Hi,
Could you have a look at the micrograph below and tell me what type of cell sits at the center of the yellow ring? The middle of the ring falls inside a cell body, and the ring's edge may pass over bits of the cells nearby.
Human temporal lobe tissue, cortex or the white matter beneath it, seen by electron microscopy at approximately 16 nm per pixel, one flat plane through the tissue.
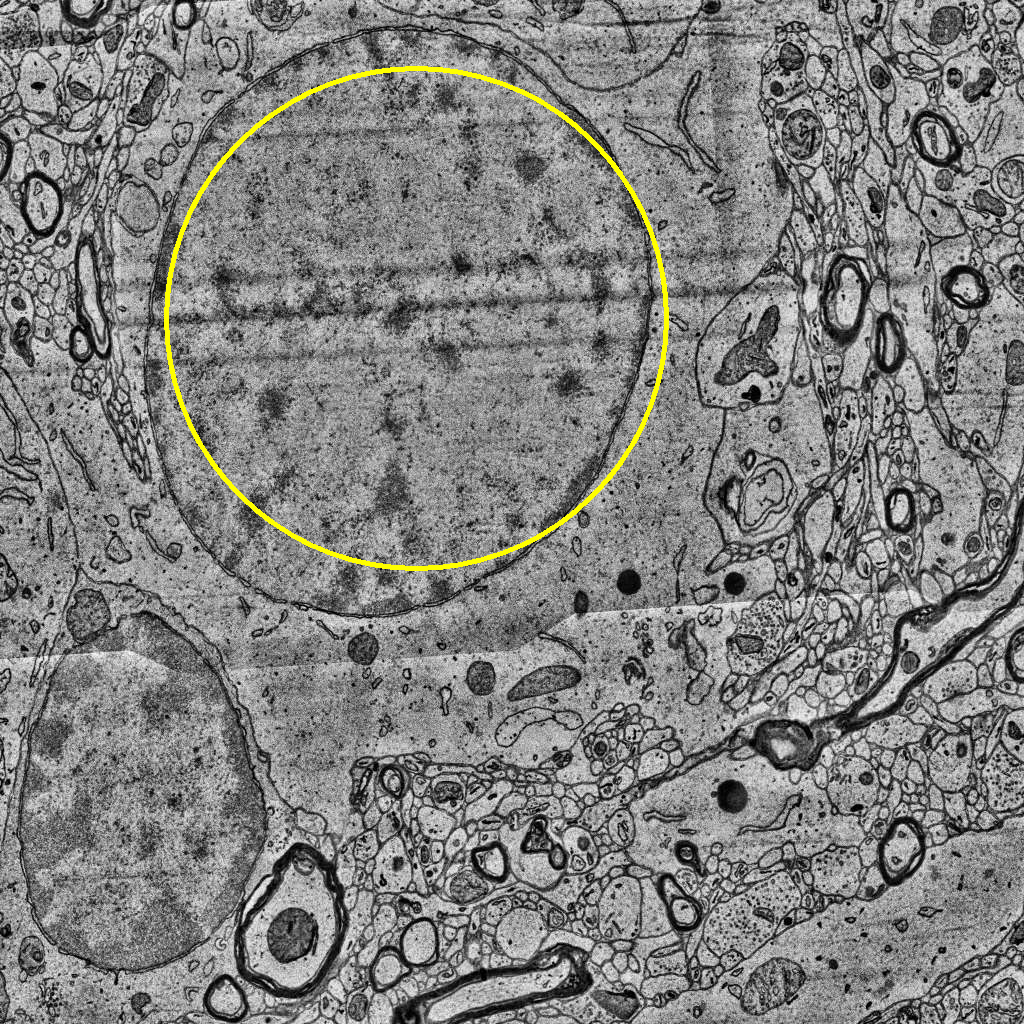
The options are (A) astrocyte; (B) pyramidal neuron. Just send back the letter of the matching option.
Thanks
A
